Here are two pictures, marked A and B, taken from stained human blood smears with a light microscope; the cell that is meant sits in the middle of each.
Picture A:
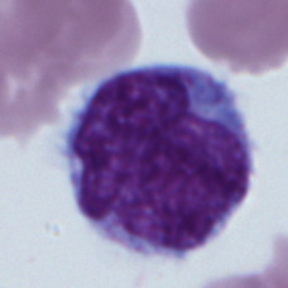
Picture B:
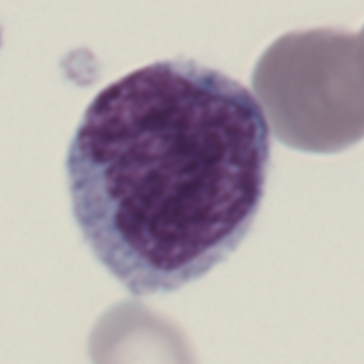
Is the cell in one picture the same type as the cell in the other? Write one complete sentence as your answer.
Yes, both cells are monocytes.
